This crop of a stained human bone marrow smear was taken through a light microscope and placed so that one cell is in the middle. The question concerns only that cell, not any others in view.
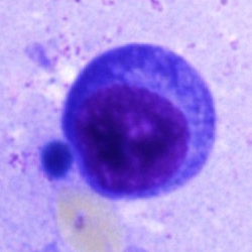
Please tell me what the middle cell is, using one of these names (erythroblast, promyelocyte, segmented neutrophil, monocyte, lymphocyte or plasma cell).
plasma cell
